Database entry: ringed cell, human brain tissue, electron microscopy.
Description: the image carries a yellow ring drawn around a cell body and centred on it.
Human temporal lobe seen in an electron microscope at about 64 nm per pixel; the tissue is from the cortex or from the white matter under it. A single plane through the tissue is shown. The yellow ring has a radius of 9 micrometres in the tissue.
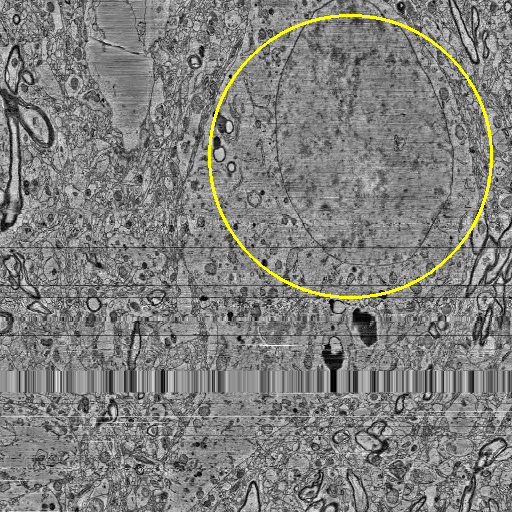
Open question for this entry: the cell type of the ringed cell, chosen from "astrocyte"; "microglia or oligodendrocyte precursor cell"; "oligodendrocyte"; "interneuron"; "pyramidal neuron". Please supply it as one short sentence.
The ringed cell is a pyramidal neuron.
